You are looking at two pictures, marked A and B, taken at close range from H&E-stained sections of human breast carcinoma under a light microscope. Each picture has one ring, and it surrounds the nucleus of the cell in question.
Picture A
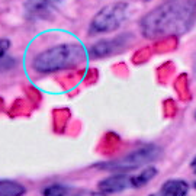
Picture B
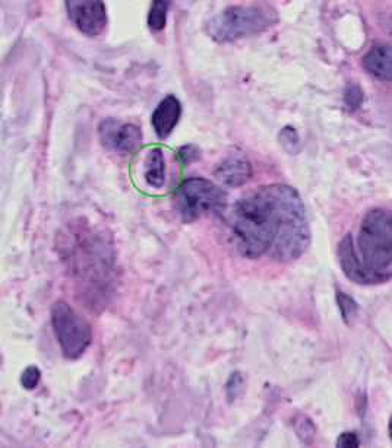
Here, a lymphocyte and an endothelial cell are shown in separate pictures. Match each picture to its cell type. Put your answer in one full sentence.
Picture A shows an endothelial cell and picture B shows a lymphocyte.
